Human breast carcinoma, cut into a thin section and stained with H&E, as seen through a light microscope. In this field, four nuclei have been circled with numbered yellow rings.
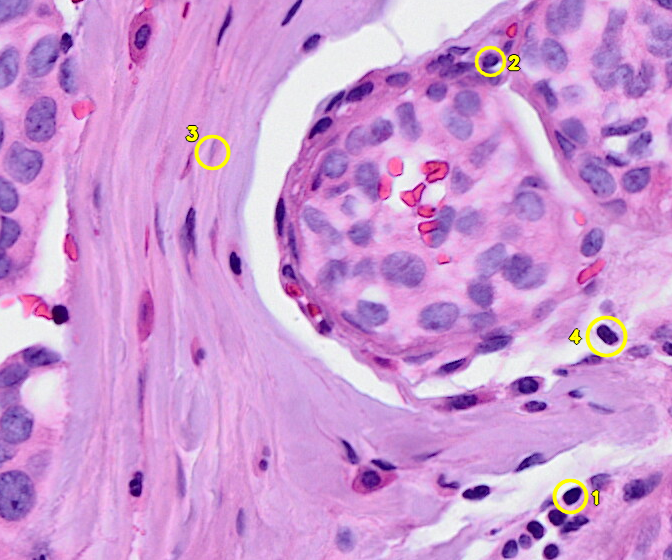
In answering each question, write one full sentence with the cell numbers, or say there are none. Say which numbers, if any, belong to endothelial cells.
Only number 2 is an endothelial cell; none of the others are.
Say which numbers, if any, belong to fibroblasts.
Cell 3 is a fibroblast, while all remaining marked cells are of other types.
